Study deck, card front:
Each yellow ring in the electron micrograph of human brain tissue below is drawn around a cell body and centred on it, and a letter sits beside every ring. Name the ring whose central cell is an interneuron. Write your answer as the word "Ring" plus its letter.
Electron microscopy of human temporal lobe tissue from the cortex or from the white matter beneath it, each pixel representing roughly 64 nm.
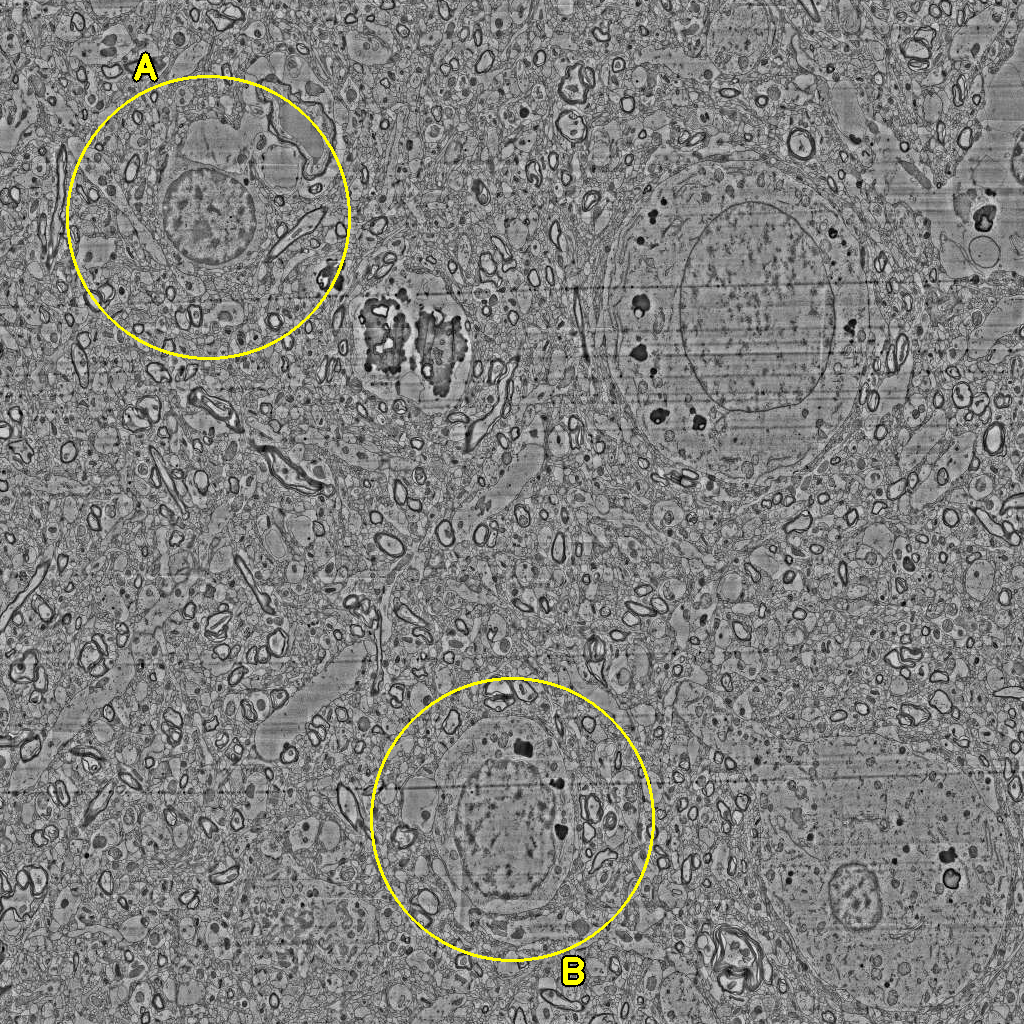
Ring B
